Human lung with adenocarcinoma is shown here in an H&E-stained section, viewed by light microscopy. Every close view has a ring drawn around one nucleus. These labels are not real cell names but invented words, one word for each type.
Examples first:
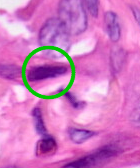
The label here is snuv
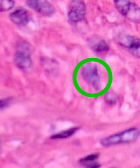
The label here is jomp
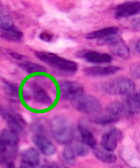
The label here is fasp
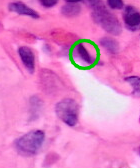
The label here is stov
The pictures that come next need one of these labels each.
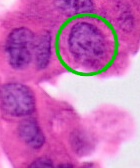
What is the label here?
snuv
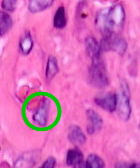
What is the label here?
stov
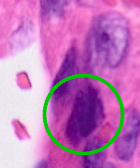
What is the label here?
snuv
